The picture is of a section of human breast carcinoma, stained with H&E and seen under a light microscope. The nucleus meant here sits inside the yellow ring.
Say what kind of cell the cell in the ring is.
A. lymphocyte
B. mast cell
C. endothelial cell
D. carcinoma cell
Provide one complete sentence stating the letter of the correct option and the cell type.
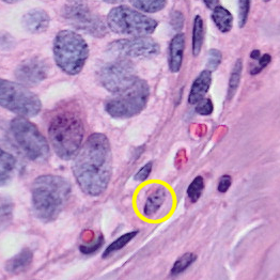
Option B gives the correct identity of the cell in the ring, which is a mast cell.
